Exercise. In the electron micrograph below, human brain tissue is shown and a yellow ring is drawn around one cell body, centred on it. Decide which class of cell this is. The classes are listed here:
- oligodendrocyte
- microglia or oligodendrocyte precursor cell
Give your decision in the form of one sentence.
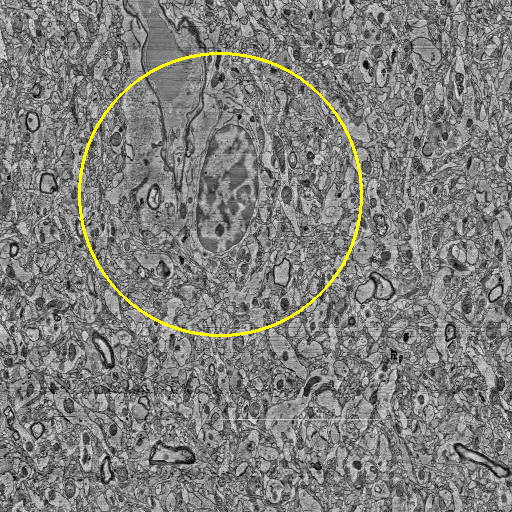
The cell body marked by the ring belongs to a microglial cell or oligodendrocyte precursor cell.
